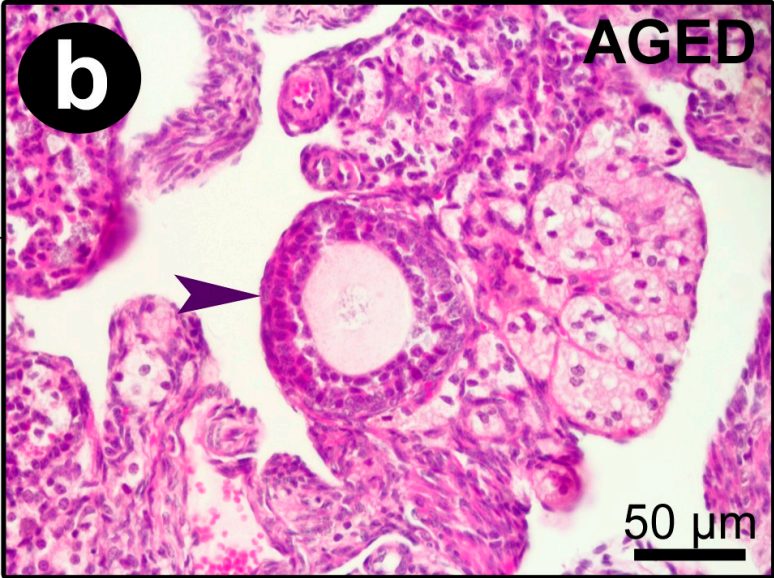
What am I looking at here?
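Ovarian tissue at high magnification with a follicle at the centre: a large round oocyte with pale pink, homogeneous cytoplasm and some irregular pale material at its middle. The oocyte is surrounded by a compact, stratified ring of small cuboidal cells with dark purple nuclei and pink cytoplasm. To the right lie nests of large polygonal cells with pale, finely vacuolated cytoplasm and round central nuclei. Between these are strands of stroma with elongated spindle-shaped nuclei and small vessels. Clear spaces separate the tissue fragments, and loose red blood cells lie near the lower edge.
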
